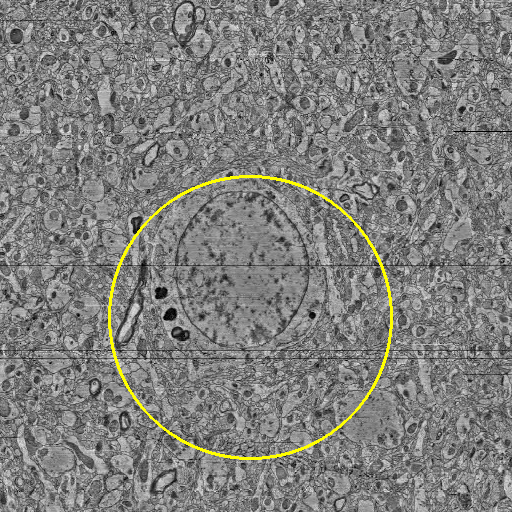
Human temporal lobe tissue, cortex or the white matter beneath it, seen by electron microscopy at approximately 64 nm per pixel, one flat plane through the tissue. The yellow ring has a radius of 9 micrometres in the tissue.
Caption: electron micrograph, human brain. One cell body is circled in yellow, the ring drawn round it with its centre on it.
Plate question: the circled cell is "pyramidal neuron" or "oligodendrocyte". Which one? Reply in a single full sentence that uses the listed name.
The yellow ring on the plate is centred on a pyramidal neuron, going by the listed names.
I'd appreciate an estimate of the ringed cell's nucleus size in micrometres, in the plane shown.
The ringed cell's nucleus is about 11 micrometres long and 9 micrometres wide in this plane.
